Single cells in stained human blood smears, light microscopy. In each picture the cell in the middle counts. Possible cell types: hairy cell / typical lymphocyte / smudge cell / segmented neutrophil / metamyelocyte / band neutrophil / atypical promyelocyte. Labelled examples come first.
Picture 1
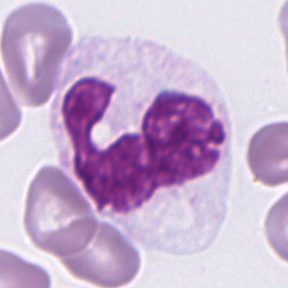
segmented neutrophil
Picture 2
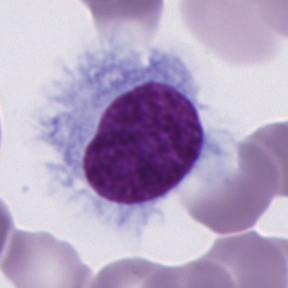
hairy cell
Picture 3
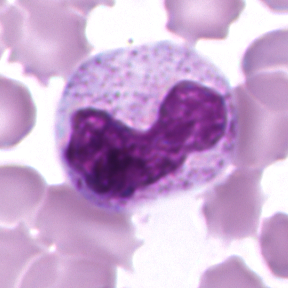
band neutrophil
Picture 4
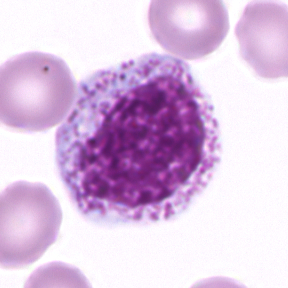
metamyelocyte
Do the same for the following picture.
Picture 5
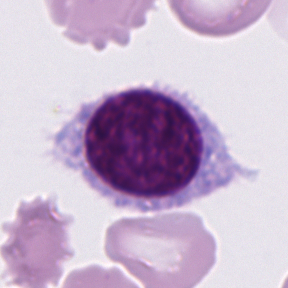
hairy cell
